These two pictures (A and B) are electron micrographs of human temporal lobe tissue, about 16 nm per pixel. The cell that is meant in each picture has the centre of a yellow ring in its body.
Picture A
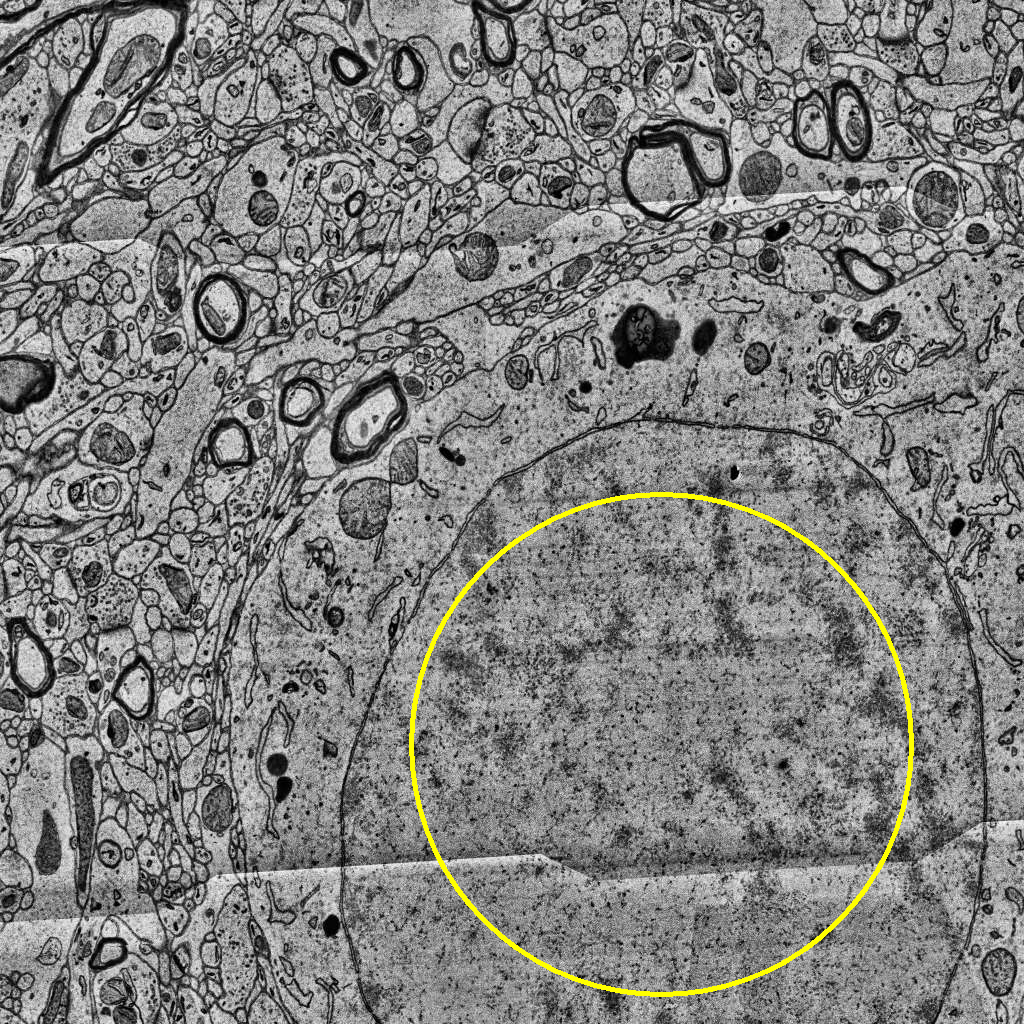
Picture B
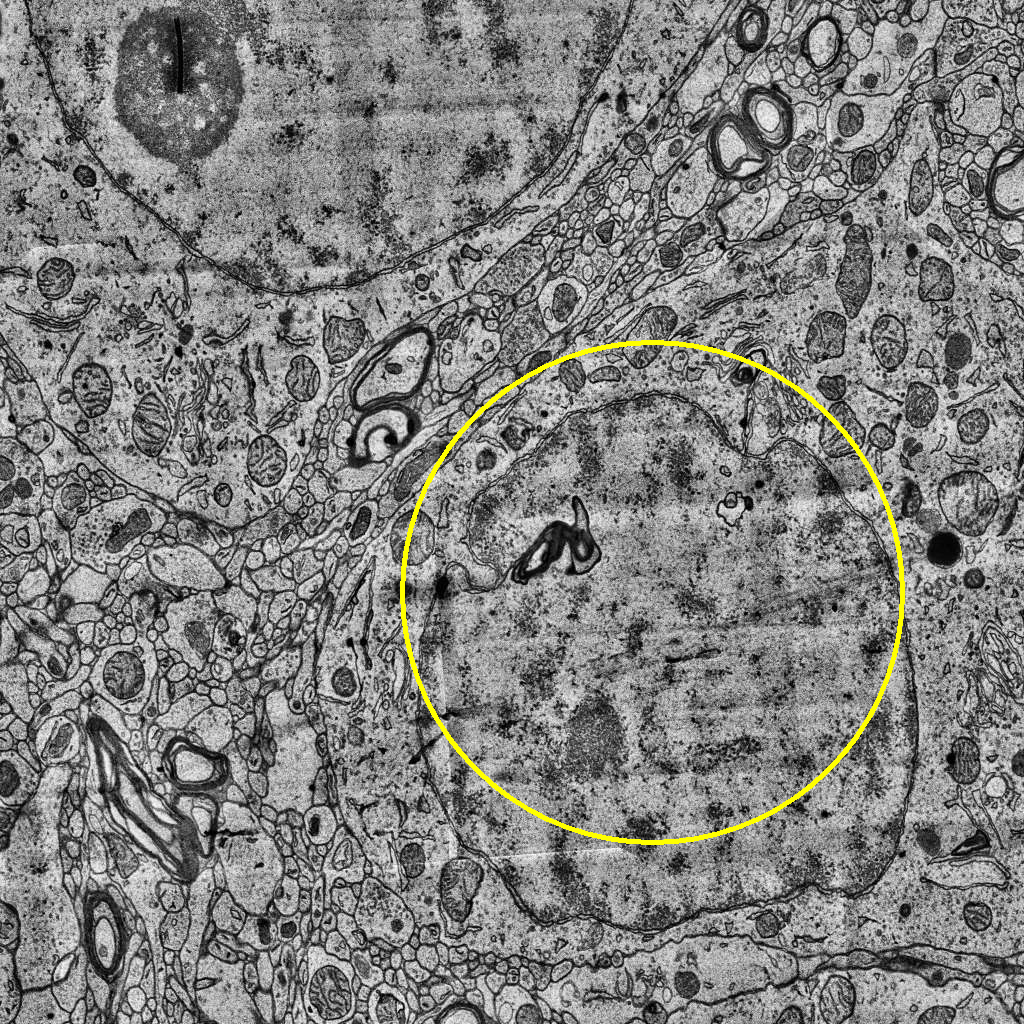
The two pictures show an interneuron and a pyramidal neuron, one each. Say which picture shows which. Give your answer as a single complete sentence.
Picture B shows an interneuron, while picture A shows a pyramidal neuron.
